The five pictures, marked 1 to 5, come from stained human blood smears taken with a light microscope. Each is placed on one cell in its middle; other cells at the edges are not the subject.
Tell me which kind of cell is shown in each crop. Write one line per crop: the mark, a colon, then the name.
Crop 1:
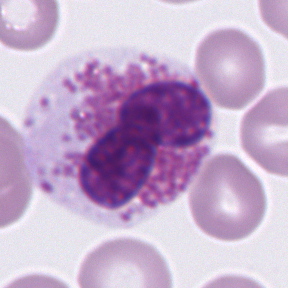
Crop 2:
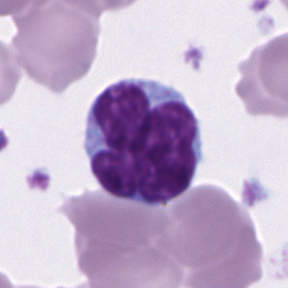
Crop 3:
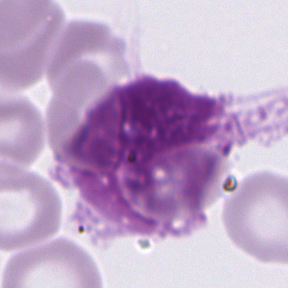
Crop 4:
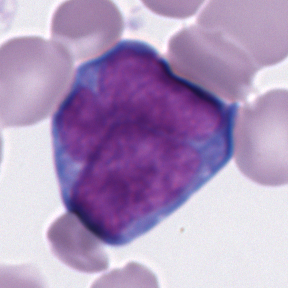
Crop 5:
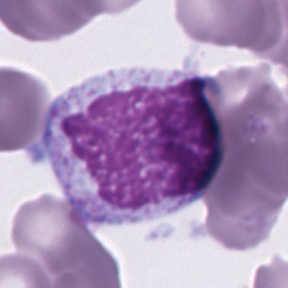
1: eosinophil
2: typical lymphocyte
3: smudge cell
4: myeloblast
5: myelocyte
